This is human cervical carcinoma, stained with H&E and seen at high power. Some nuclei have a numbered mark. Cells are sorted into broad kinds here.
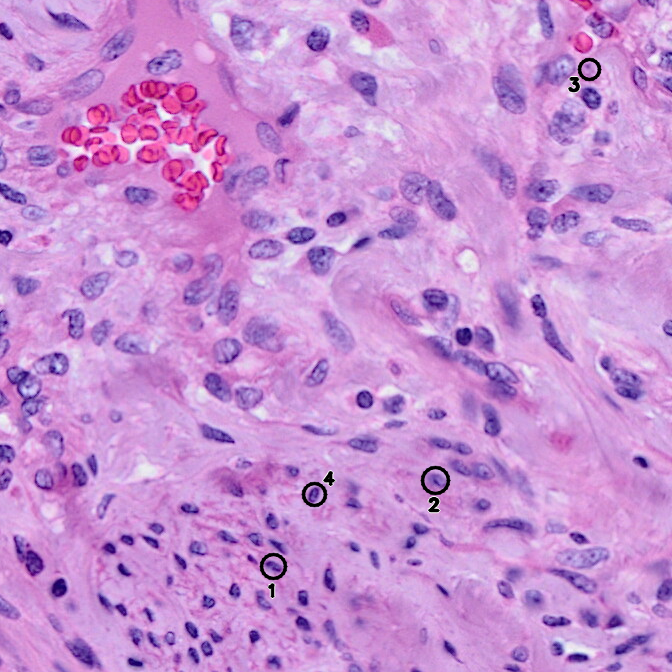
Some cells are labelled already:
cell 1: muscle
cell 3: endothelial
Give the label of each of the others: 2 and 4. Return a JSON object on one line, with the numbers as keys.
{"2": "muscle", "4": "muscle"}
